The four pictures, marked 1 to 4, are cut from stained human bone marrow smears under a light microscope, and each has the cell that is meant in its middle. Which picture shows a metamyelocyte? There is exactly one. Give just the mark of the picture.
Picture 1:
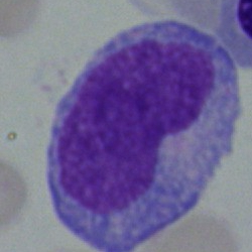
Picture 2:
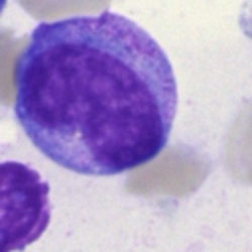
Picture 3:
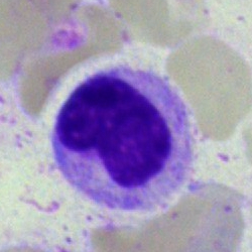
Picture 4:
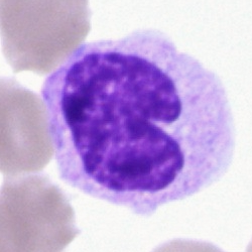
3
